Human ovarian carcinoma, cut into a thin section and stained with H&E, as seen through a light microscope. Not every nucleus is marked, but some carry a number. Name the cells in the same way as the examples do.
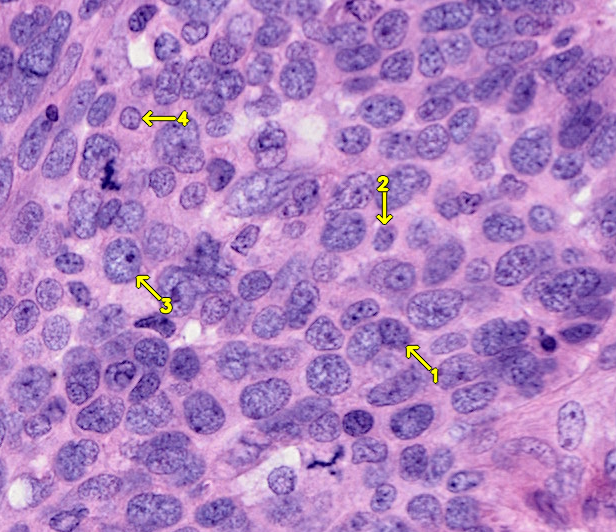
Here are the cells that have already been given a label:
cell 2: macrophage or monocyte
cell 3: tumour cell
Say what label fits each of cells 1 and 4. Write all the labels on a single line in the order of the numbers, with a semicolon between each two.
tumour cell; macrophage or monocyte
